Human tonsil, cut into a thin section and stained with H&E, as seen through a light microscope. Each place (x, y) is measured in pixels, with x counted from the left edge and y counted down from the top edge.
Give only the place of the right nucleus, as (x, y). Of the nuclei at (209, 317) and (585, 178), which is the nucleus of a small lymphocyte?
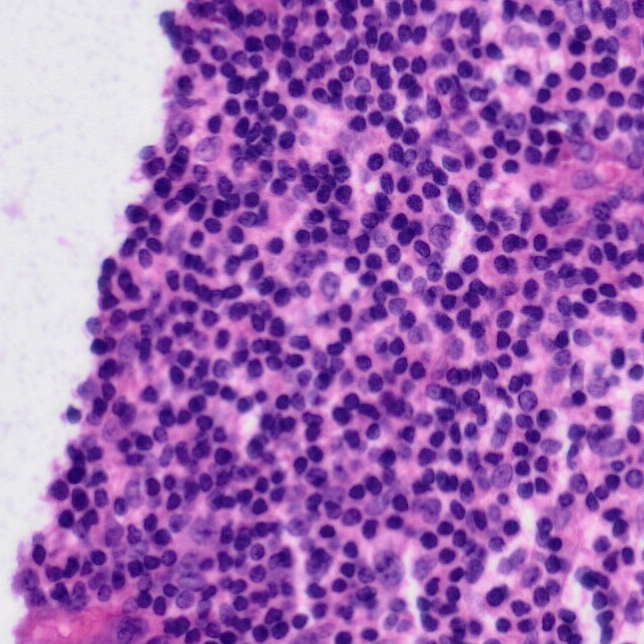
(209, 317)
